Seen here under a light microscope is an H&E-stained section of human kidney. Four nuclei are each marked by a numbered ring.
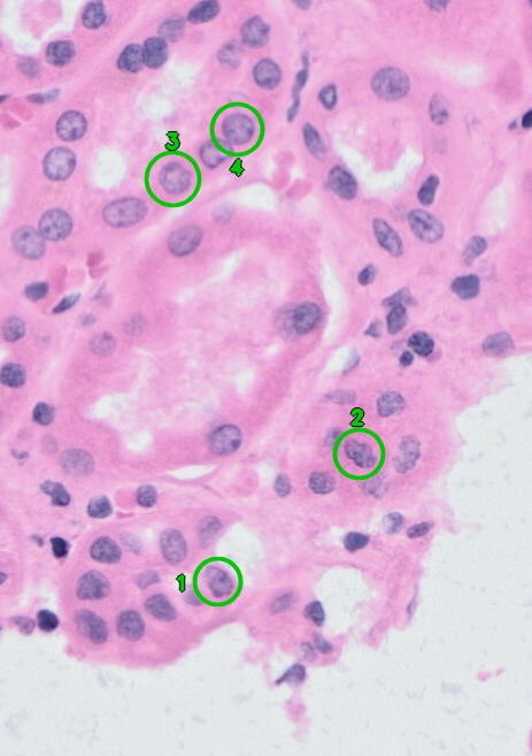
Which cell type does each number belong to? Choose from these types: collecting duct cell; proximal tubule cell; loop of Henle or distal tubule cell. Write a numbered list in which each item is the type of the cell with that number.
1. collecting duct cell
2. loop of Henle or distal tubule cell
3. proximal tubule cell
4. proximal tubule cell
